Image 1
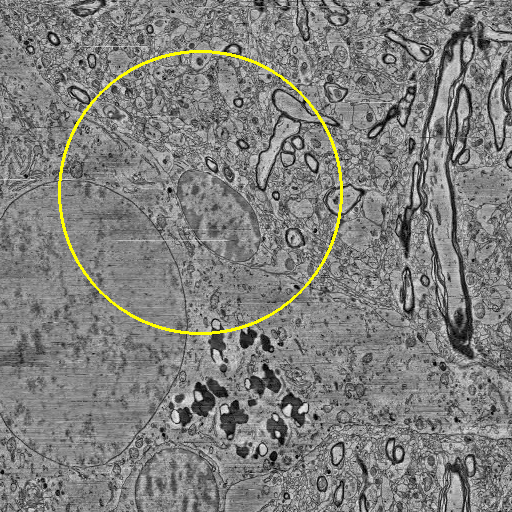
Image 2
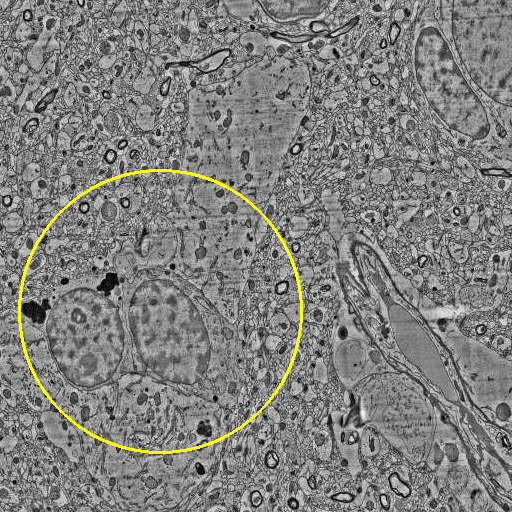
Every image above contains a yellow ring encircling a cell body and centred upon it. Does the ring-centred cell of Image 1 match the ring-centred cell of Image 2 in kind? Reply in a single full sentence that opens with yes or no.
No, the cell at the ring's centre in Image 1 is a separate kind from that in Image 2.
